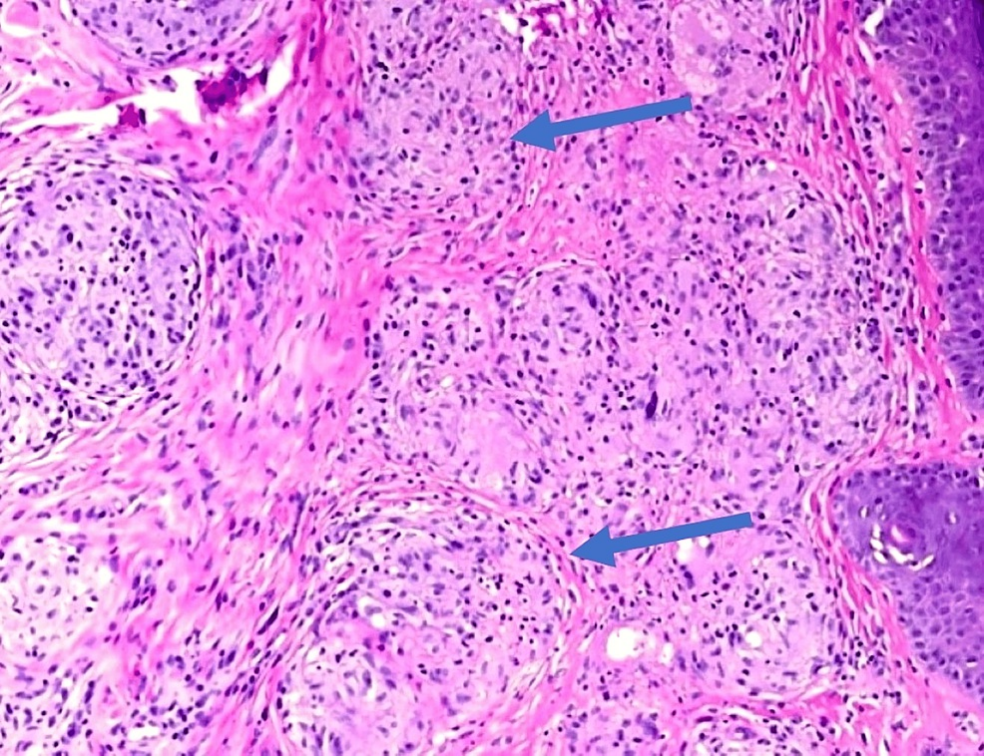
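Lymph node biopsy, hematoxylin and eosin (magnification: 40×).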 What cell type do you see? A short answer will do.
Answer: Epithelioid cells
